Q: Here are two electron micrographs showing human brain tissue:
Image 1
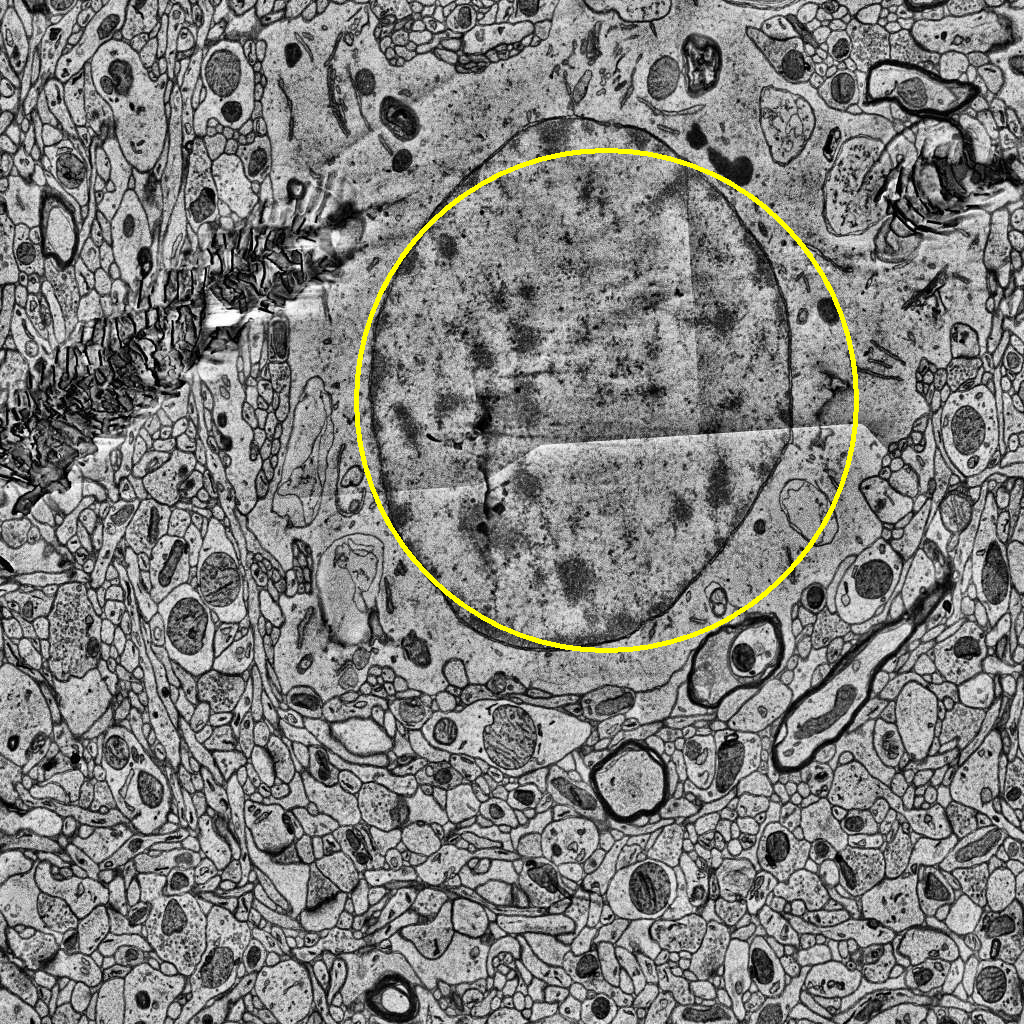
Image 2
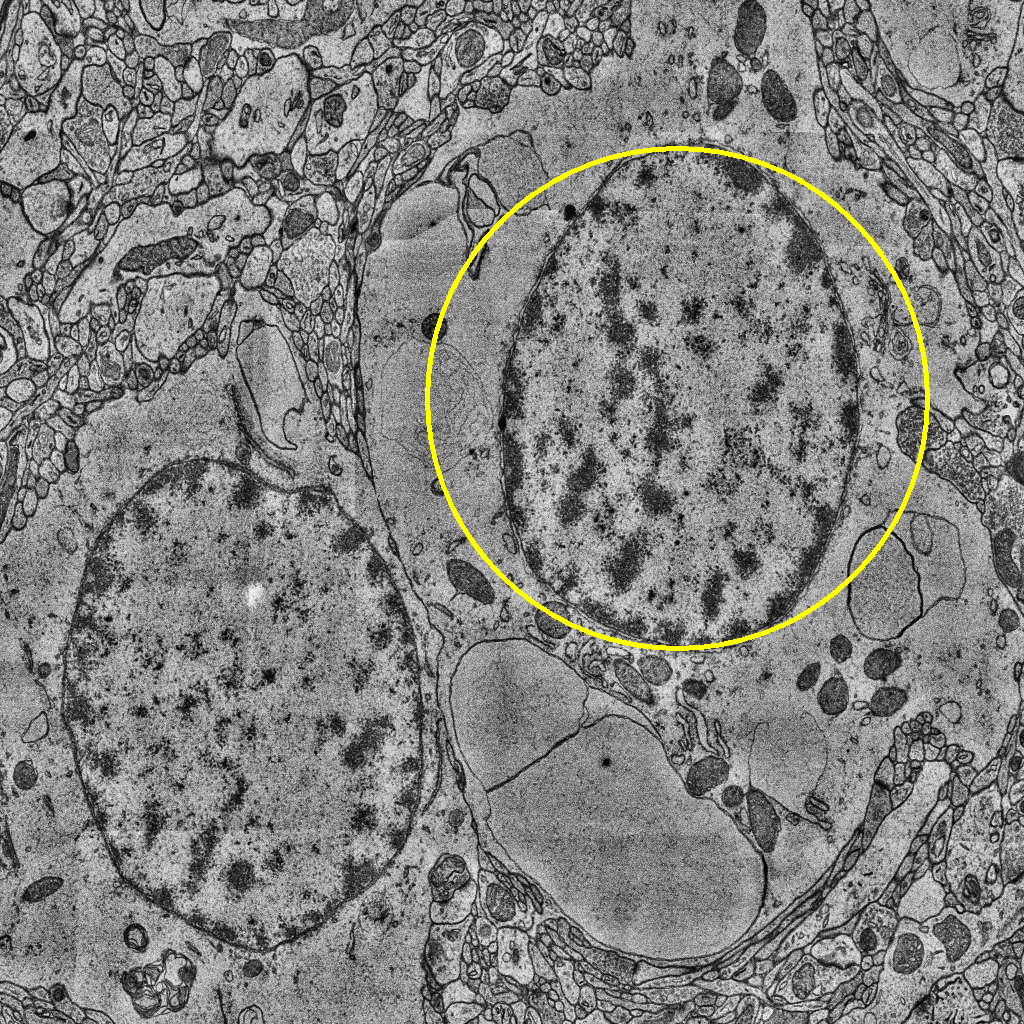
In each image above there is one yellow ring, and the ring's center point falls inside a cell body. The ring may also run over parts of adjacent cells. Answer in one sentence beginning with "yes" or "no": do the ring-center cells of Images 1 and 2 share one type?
Yes, in Images 1 and 2, the ring-center cells are both of one type.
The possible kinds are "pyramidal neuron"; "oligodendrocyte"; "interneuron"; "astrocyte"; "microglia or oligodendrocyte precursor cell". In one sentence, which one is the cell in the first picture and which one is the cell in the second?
Both pictures show an astrocyte at the centre of the ring.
